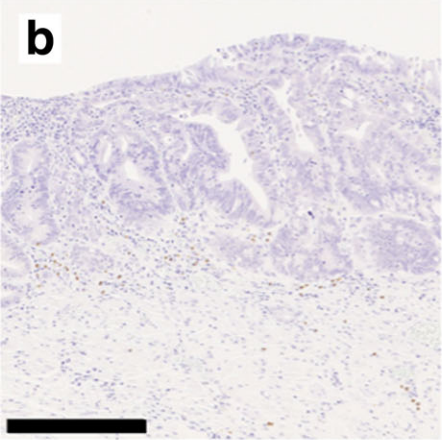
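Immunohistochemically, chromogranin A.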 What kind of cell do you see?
Adenocarcinoma cells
